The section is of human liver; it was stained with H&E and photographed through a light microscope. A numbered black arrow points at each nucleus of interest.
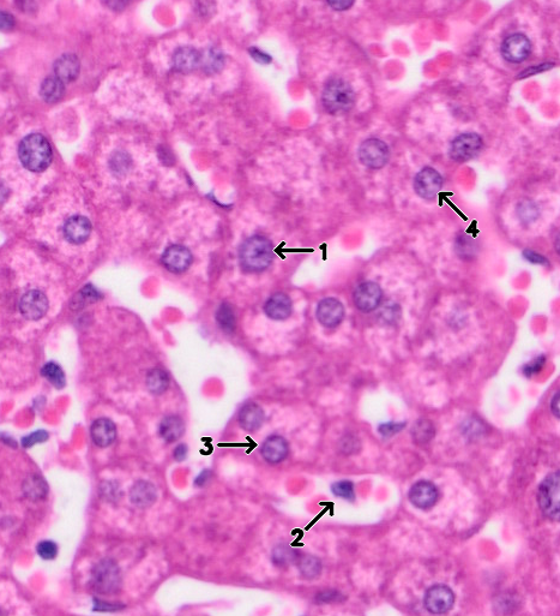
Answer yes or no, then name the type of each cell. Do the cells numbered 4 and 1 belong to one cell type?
Yes, both are hepatocytes.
